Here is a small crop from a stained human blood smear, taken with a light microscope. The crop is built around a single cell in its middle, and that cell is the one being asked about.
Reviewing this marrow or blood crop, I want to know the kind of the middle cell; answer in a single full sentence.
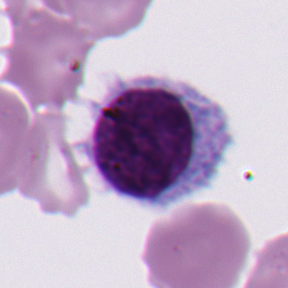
The cell of interest, in the center, is a hairy cell.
